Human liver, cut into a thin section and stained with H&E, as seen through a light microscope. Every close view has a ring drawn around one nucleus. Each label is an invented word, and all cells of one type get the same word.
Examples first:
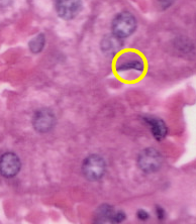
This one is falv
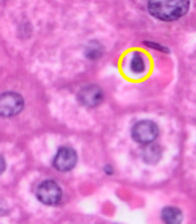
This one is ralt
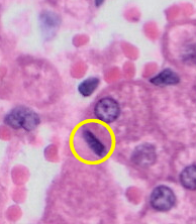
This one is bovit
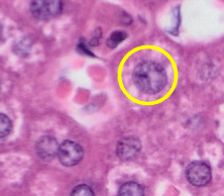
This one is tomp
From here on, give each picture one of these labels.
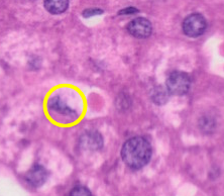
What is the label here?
falv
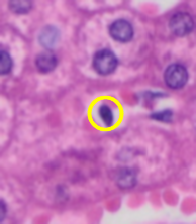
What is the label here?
ralt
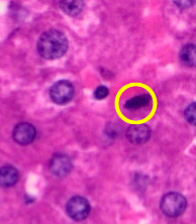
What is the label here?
bovit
